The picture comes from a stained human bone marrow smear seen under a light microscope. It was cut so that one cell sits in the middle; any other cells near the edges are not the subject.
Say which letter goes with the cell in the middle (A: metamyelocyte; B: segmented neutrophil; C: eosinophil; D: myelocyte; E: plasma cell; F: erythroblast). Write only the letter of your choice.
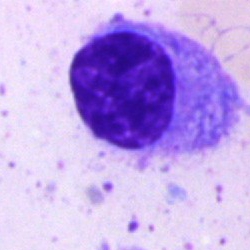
E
